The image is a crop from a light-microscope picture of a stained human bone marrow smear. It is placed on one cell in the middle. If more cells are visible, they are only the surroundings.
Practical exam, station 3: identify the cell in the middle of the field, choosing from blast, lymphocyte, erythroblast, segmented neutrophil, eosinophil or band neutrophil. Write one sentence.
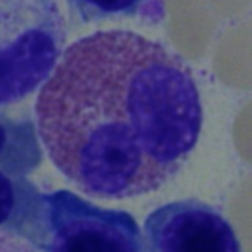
The central element of this crop is a cell, namely an eosinophil.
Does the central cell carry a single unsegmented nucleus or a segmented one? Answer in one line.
Look at the nucleus and you will find it divided into two or more lobes.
